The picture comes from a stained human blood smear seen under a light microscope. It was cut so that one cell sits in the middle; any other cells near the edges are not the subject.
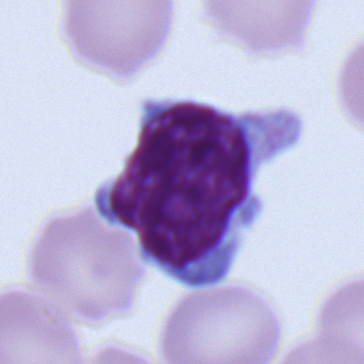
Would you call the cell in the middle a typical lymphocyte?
yes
